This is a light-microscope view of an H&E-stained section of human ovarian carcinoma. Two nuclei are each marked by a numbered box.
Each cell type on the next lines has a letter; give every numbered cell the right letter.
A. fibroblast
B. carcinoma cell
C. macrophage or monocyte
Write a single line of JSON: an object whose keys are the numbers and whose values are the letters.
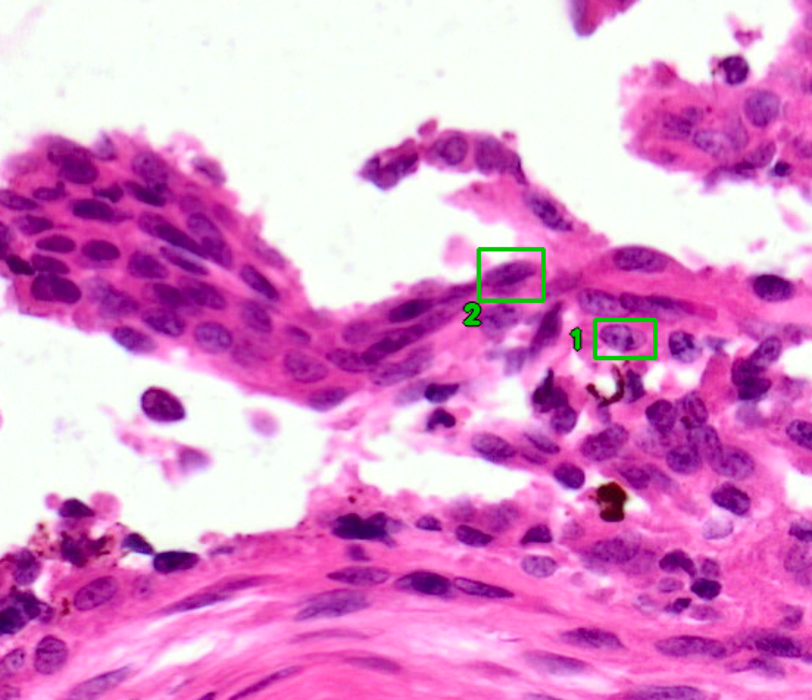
{"1": "C", "2": "B"}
